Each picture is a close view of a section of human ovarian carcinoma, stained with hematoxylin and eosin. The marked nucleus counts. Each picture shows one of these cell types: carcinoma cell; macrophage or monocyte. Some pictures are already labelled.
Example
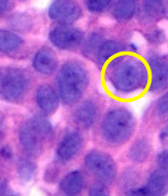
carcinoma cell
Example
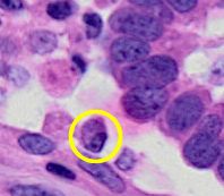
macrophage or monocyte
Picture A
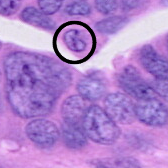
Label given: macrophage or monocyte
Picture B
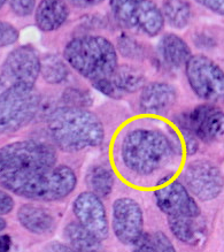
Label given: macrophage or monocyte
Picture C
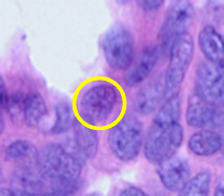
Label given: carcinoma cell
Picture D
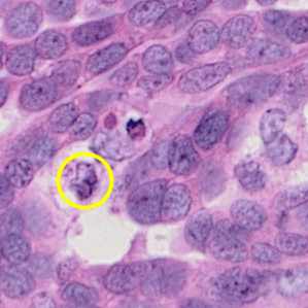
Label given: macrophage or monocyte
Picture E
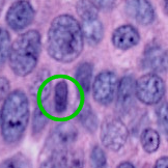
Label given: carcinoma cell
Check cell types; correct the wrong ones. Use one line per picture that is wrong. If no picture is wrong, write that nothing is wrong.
B: not macrophage or monocyte but carcinoma cell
